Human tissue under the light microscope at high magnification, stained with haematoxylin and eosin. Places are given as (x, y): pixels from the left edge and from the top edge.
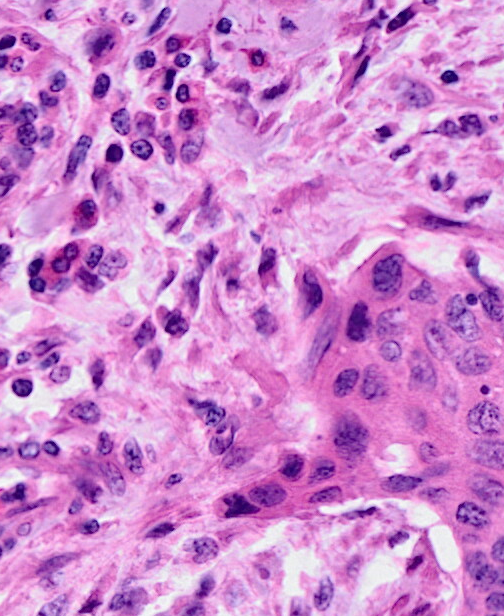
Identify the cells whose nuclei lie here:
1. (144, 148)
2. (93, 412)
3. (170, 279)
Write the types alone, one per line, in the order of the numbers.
lymphocyte
macrophage or monocyte
fibroblast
